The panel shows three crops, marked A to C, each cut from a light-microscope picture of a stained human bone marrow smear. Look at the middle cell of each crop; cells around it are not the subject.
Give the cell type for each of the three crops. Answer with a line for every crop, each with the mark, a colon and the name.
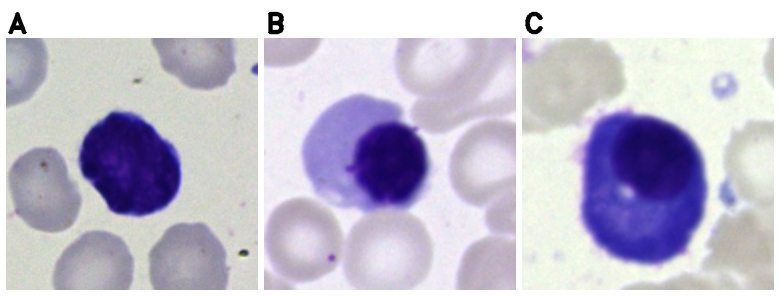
A: lymphocyte
B: erythroblast
C: plasma cell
